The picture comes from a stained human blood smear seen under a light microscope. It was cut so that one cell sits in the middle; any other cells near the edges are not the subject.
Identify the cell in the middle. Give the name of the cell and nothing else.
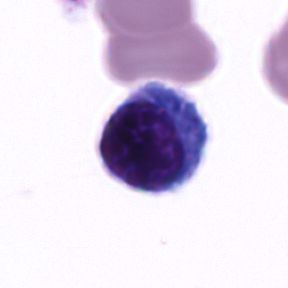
plasma cell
